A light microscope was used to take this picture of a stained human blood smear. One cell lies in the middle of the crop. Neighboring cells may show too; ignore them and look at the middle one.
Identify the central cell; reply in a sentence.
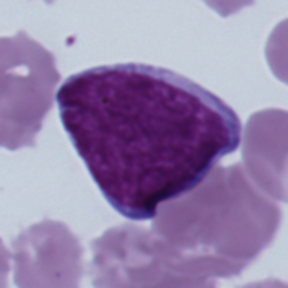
The crop shows a myeloblast in its centre.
